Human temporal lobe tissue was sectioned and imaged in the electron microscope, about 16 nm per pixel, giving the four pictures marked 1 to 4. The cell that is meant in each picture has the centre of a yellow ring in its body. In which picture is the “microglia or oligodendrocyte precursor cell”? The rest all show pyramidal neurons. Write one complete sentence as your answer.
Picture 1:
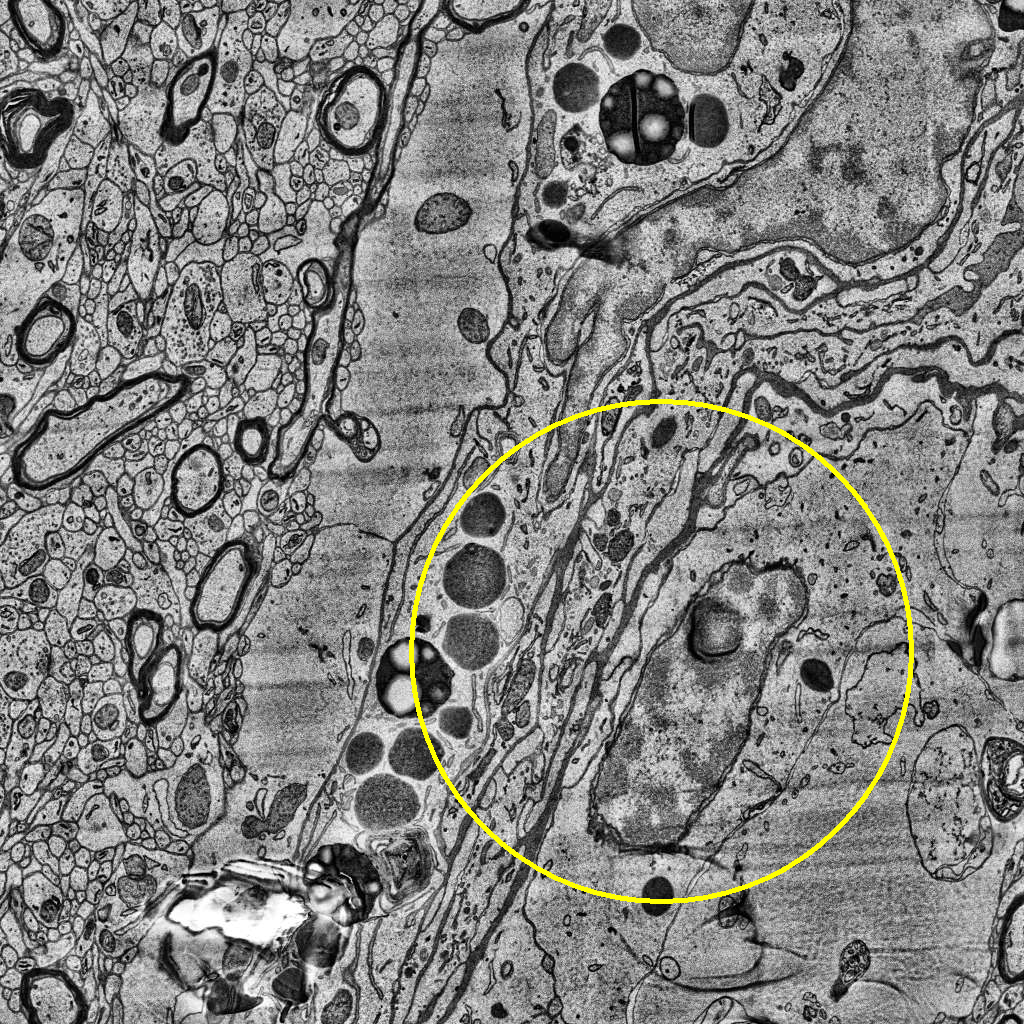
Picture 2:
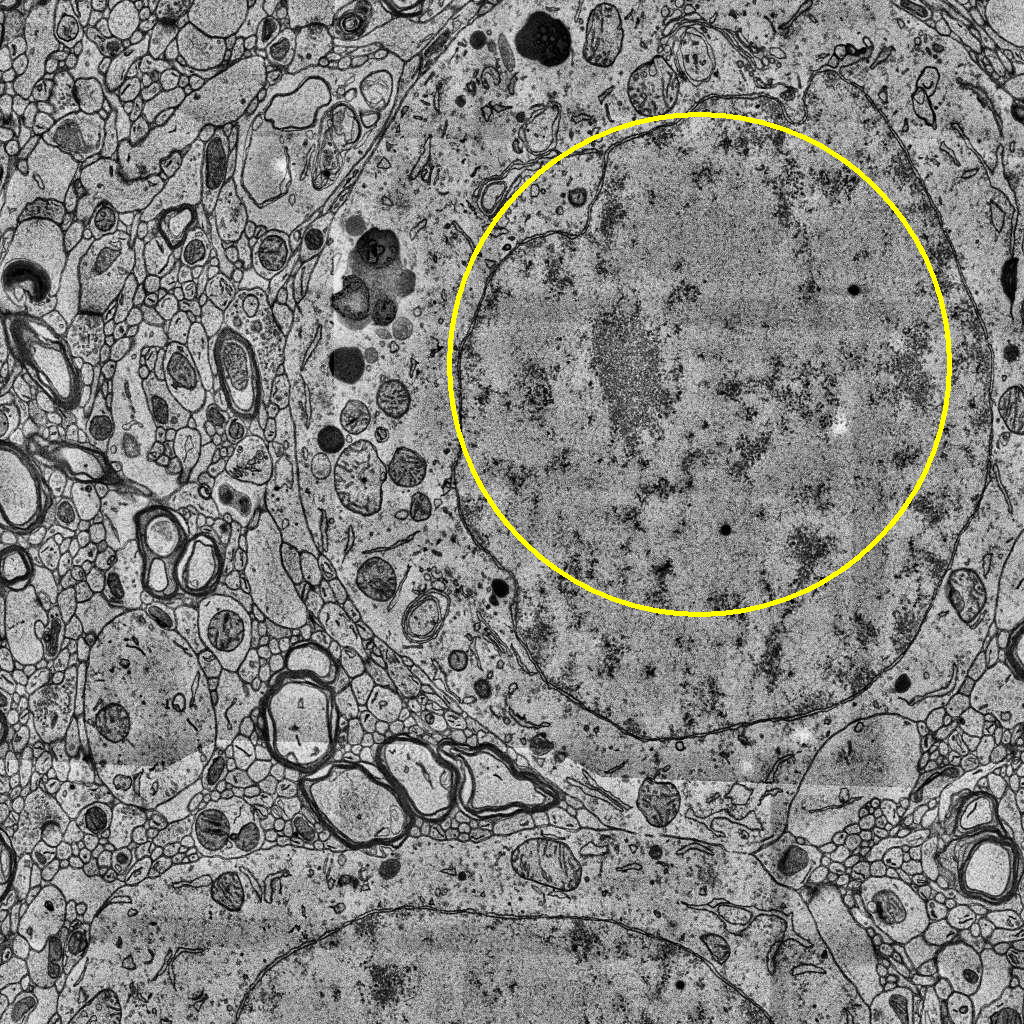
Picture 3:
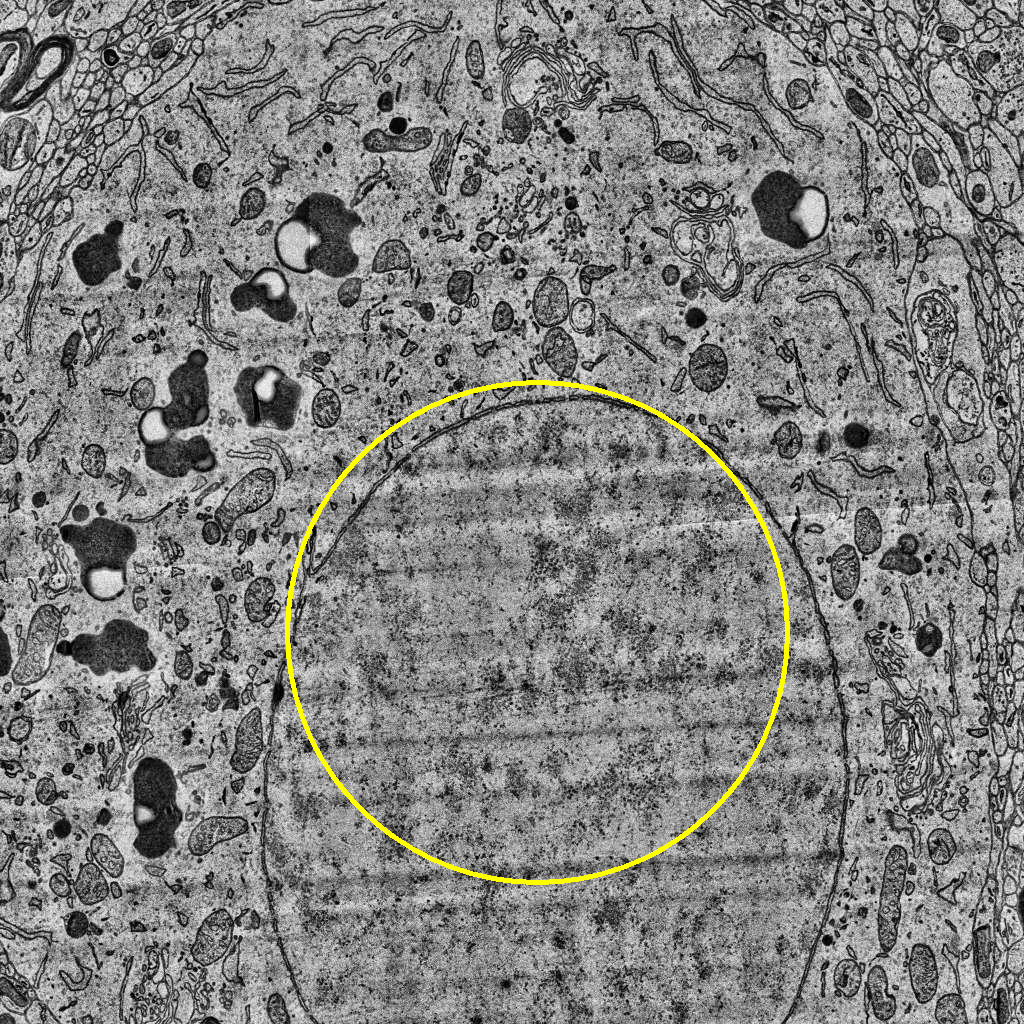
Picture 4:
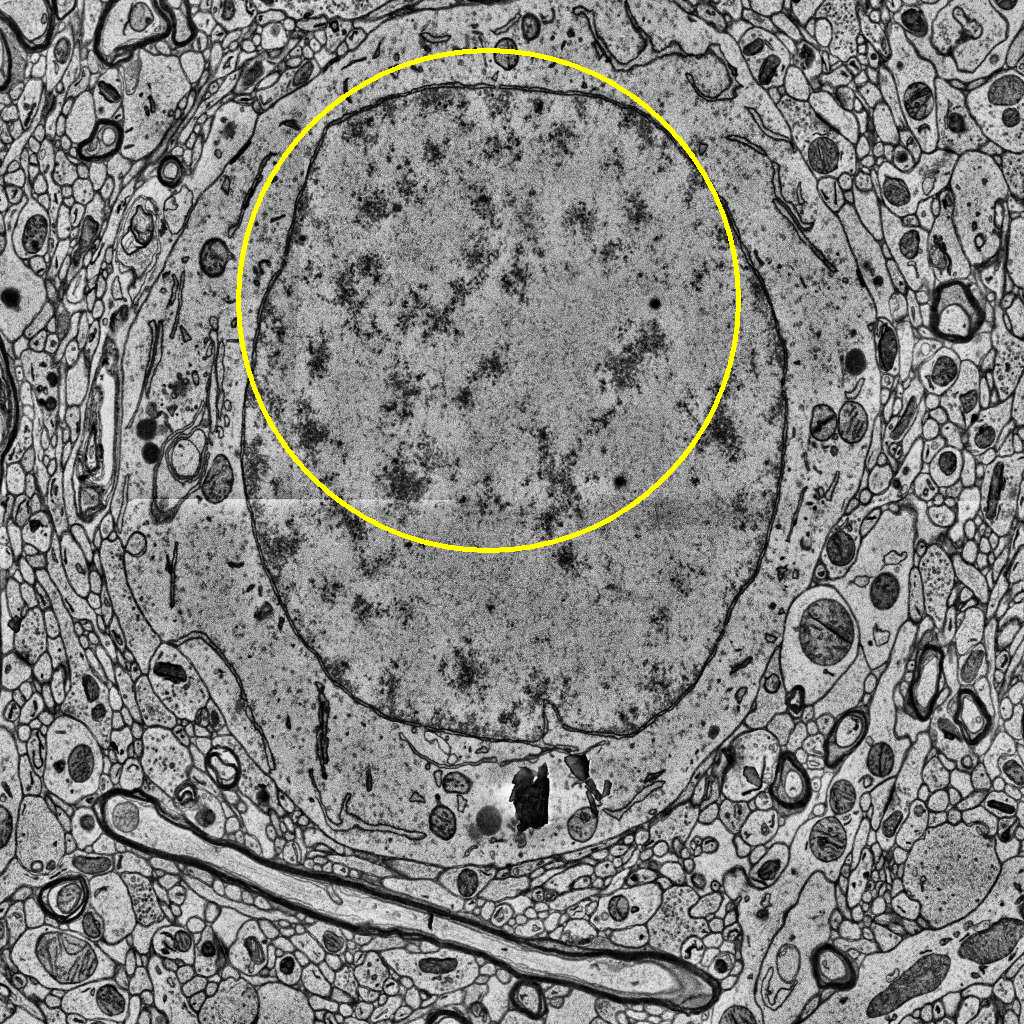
The picture with the “microglia or oligodendrocyte precursor cell” is 1.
